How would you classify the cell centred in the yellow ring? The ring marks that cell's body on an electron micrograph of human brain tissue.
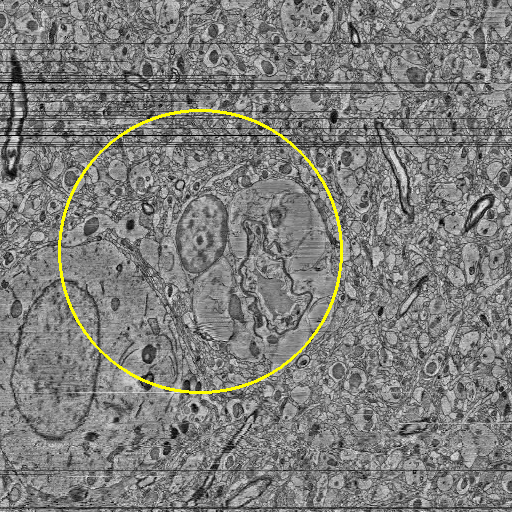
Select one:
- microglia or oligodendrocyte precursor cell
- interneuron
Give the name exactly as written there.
microglia or oligodendrocyte precursor cell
